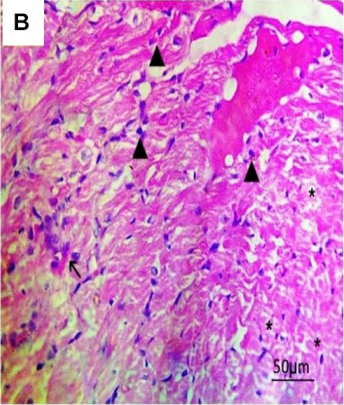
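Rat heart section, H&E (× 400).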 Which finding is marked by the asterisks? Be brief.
Myocytes degeneration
